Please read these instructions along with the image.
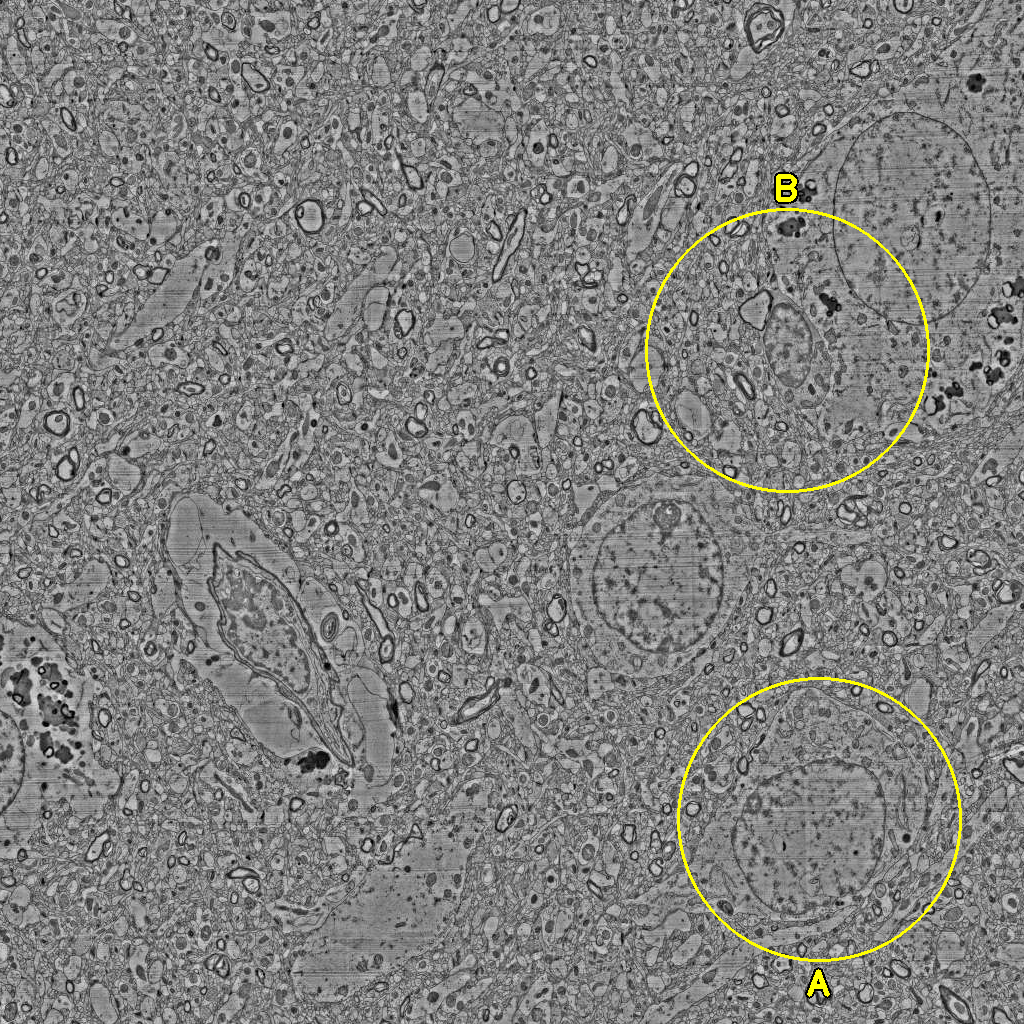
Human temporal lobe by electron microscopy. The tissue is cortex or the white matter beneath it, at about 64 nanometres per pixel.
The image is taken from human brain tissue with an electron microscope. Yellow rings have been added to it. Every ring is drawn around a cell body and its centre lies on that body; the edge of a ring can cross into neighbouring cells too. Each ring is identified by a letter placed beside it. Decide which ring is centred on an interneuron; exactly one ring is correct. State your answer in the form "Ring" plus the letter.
Ring A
